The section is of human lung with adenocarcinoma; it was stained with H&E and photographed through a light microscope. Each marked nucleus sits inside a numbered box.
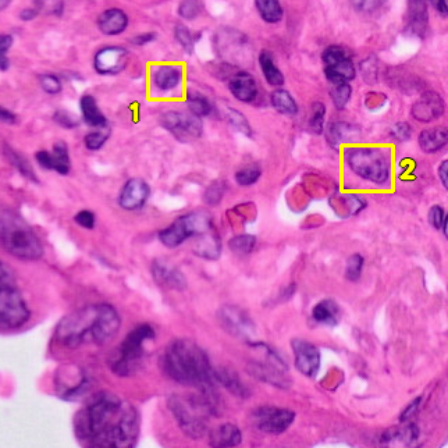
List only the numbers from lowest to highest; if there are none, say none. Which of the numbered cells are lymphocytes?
1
